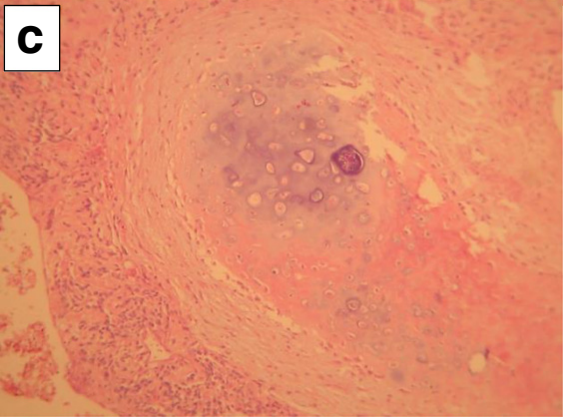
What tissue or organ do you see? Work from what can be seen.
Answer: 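A rounded nodule of pale blue-purple matrix lies in the centre. Rounded cells sit singly in clear spaces within the matrix. The nodule is surrounded by a rim of spindle-shaped cells.
Answer: cartilage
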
